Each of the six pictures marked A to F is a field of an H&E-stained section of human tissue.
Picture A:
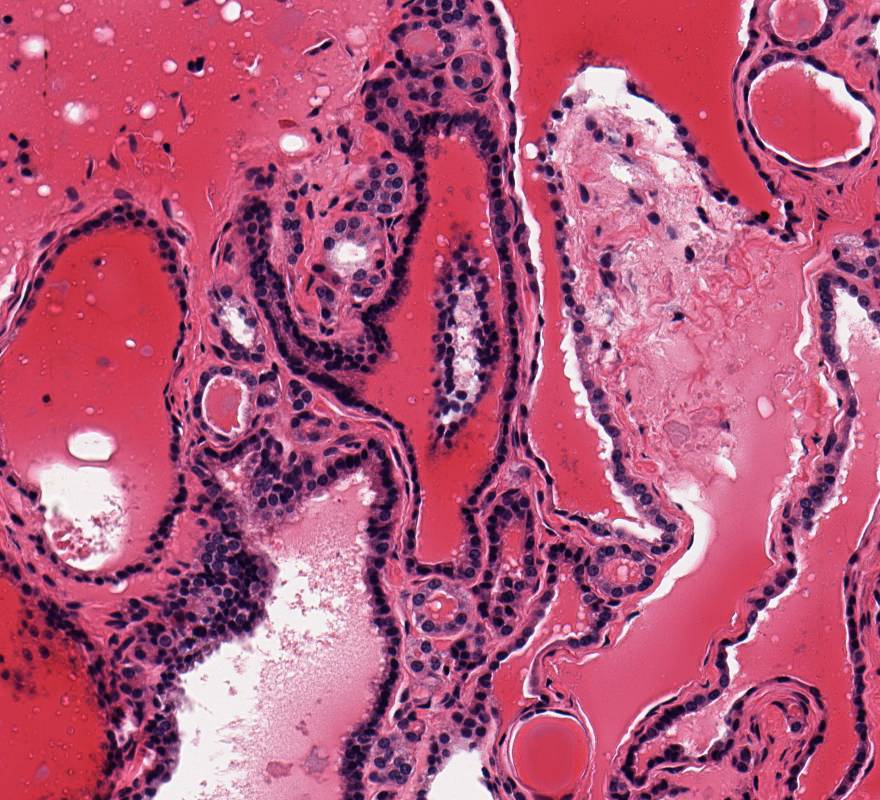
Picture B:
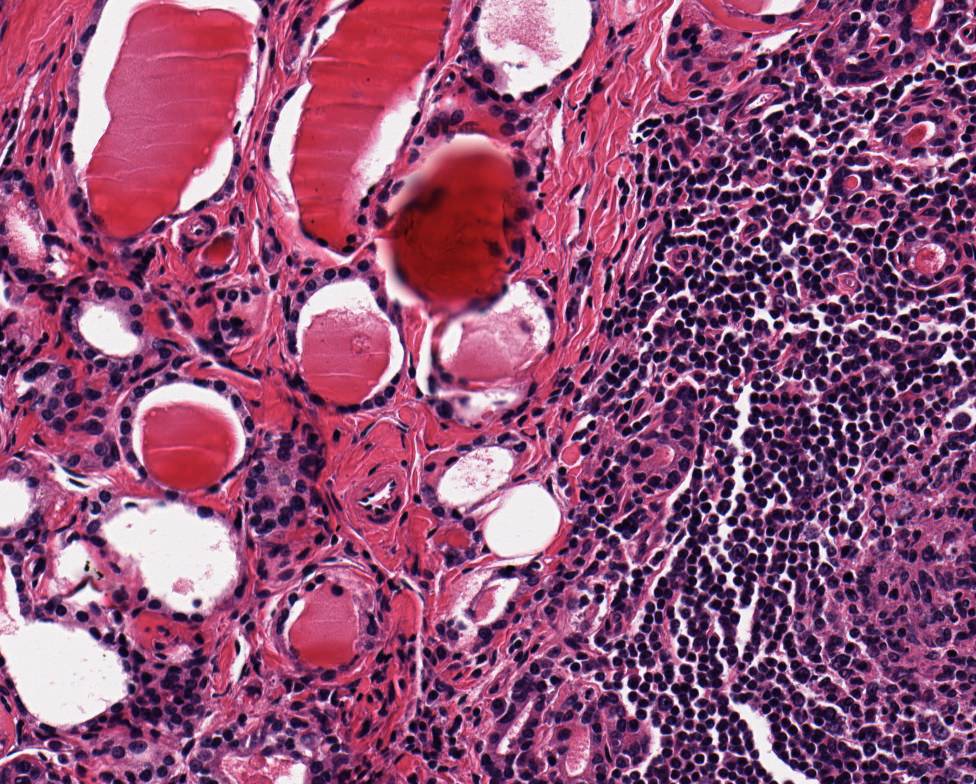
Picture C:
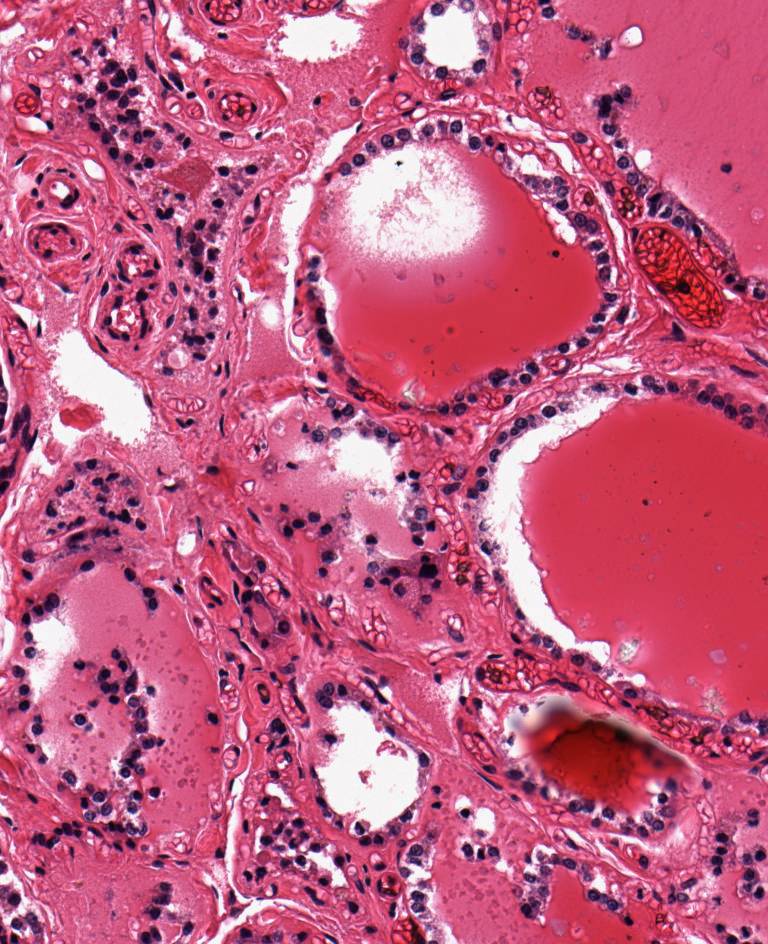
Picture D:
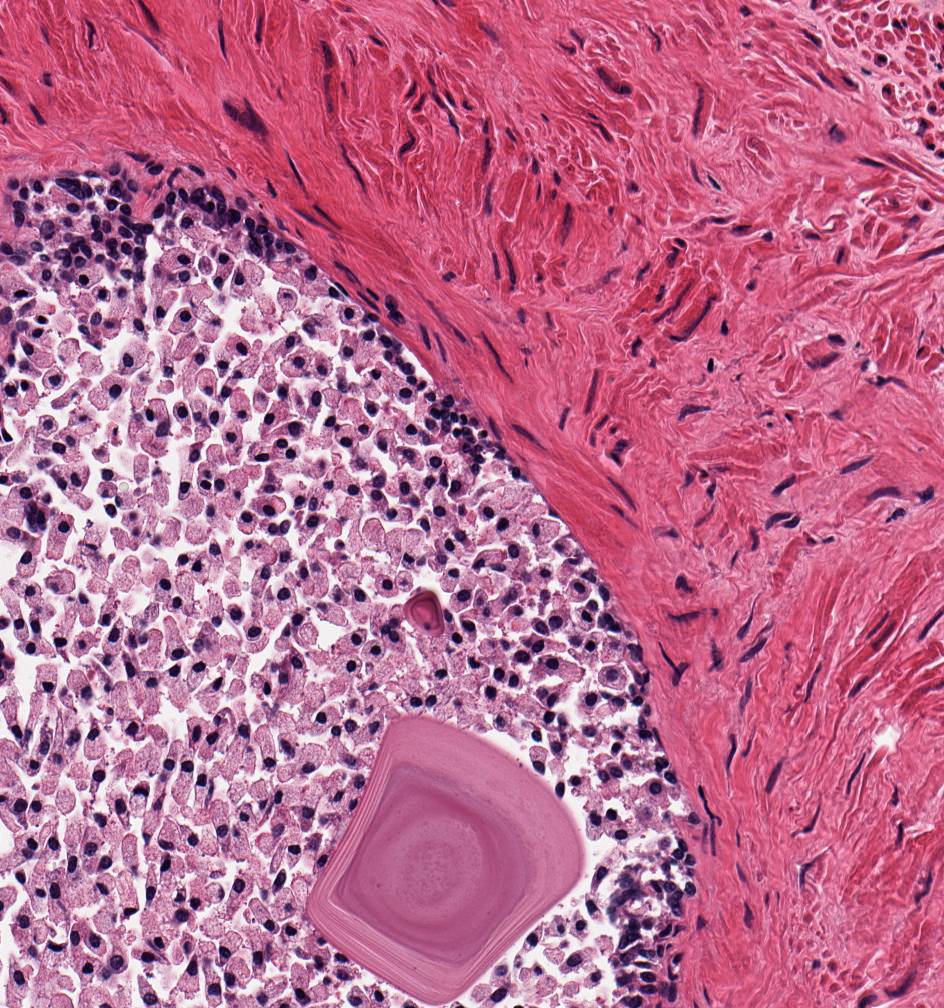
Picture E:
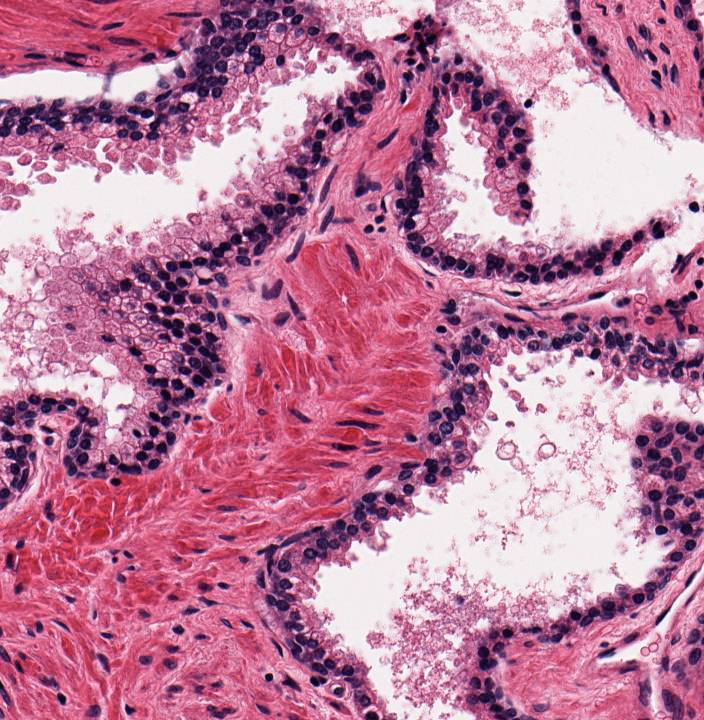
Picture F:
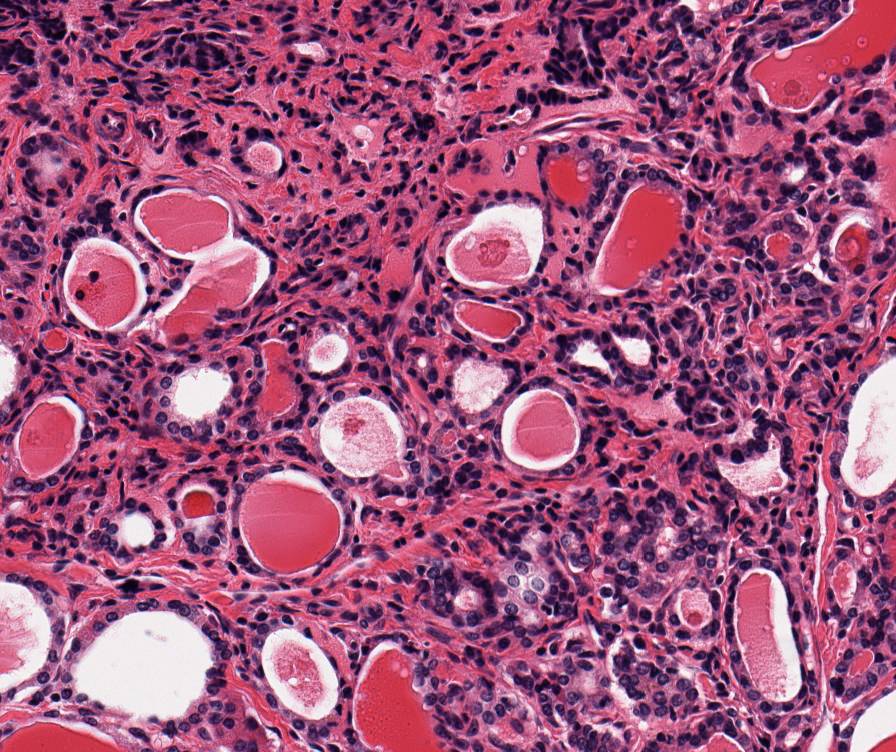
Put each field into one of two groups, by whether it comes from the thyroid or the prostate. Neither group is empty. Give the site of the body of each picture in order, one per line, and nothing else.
thyroid
thyroid
thyroid
prostate
prostate
thyroid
